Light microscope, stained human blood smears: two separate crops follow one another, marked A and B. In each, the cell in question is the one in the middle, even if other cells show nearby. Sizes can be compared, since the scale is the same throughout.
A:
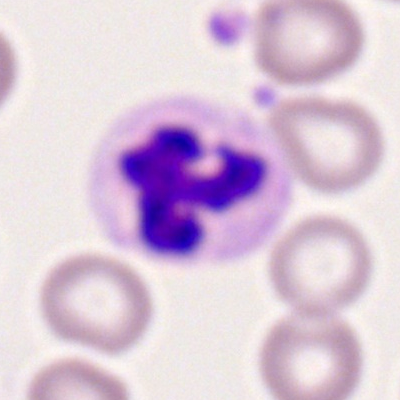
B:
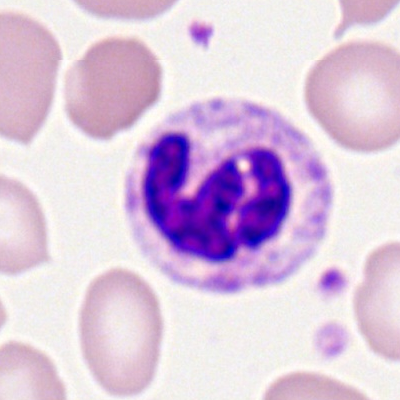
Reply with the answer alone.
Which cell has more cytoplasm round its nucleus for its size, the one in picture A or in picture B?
B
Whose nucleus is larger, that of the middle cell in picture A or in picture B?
B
